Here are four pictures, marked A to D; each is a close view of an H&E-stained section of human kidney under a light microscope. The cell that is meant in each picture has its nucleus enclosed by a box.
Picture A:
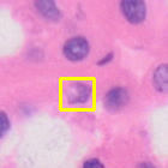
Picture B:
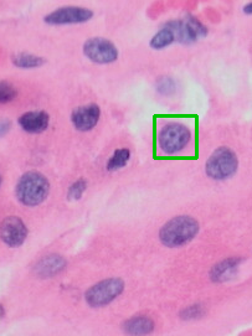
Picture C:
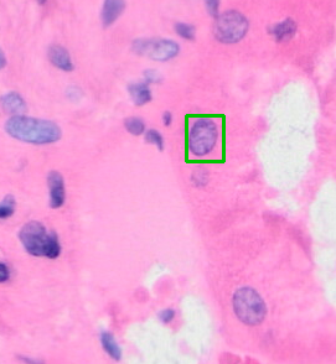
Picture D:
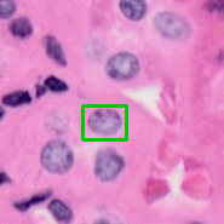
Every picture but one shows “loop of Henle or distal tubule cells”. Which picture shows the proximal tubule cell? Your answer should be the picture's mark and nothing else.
C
